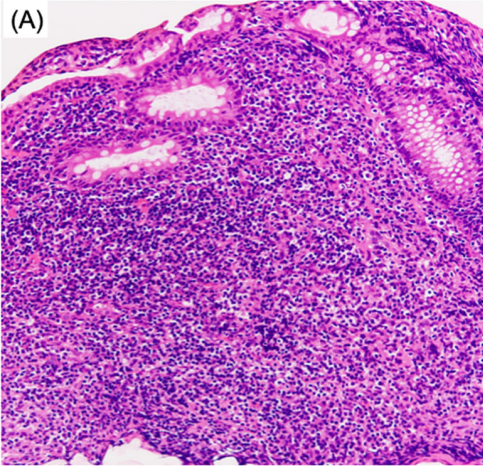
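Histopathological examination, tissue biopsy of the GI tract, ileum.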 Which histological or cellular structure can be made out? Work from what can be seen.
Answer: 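Tubular glands lined by columnar epithelium with pale goblet cells. The glands lie near the surface, surrounded by dense cellular tissue.
Conclusion: crypts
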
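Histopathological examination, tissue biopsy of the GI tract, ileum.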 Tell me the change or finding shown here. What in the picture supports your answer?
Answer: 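Sheets of small dark round nuclei fill the mucosa. The cellular infiltrate surrounds and separates the glands.
Conclusion: dense lymphocyte infiltration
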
